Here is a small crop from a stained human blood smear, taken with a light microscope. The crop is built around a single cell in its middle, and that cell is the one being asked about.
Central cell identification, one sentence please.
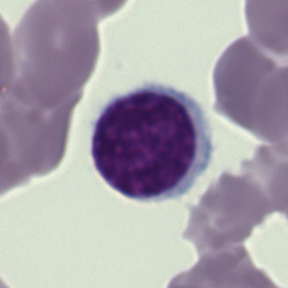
This crop has a hairy cell at its centre.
